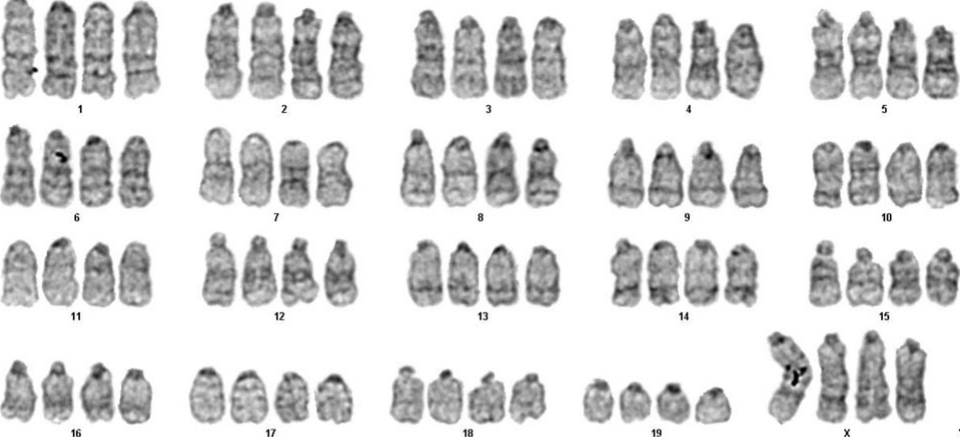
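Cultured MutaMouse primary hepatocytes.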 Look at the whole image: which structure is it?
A: G‐banding karyotype.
